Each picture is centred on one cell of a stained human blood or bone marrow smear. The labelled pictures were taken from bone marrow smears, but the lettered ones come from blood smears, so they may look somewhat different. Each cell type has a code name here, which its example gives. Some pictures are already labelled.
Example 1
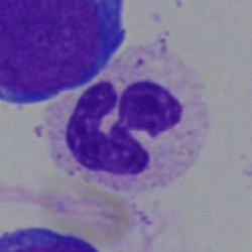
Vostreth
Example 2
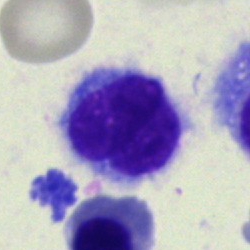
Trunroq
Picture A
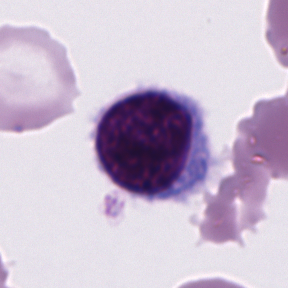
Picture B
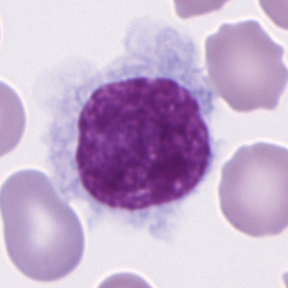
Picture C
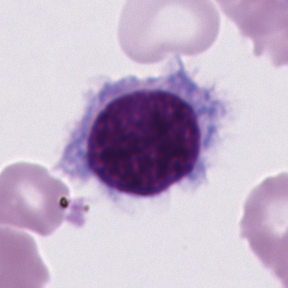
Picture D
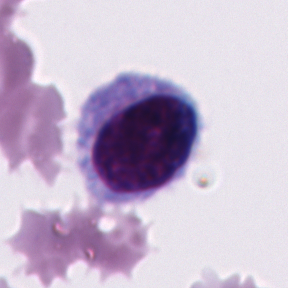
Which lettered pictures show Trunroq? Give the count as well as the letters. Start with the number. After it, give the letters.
4, namely A, B, C, D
